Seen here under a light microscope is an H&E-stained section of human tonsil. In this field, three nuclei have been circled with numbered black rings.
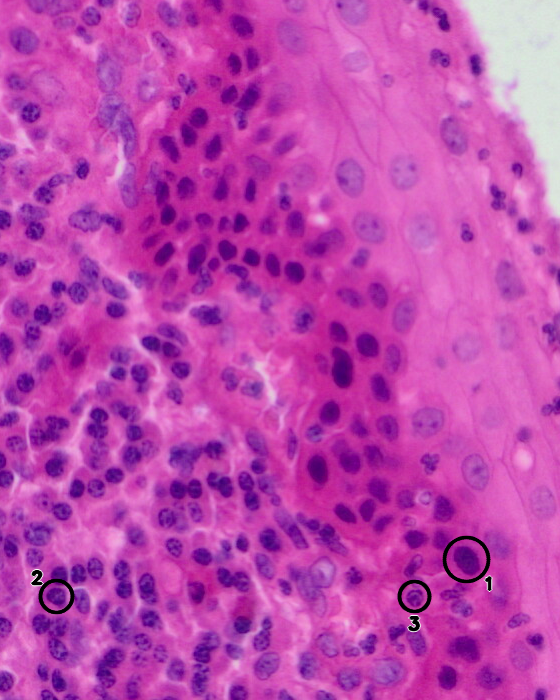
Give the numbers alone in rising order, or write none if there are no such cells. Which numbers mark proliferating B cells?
none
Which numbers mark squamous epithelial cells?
1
